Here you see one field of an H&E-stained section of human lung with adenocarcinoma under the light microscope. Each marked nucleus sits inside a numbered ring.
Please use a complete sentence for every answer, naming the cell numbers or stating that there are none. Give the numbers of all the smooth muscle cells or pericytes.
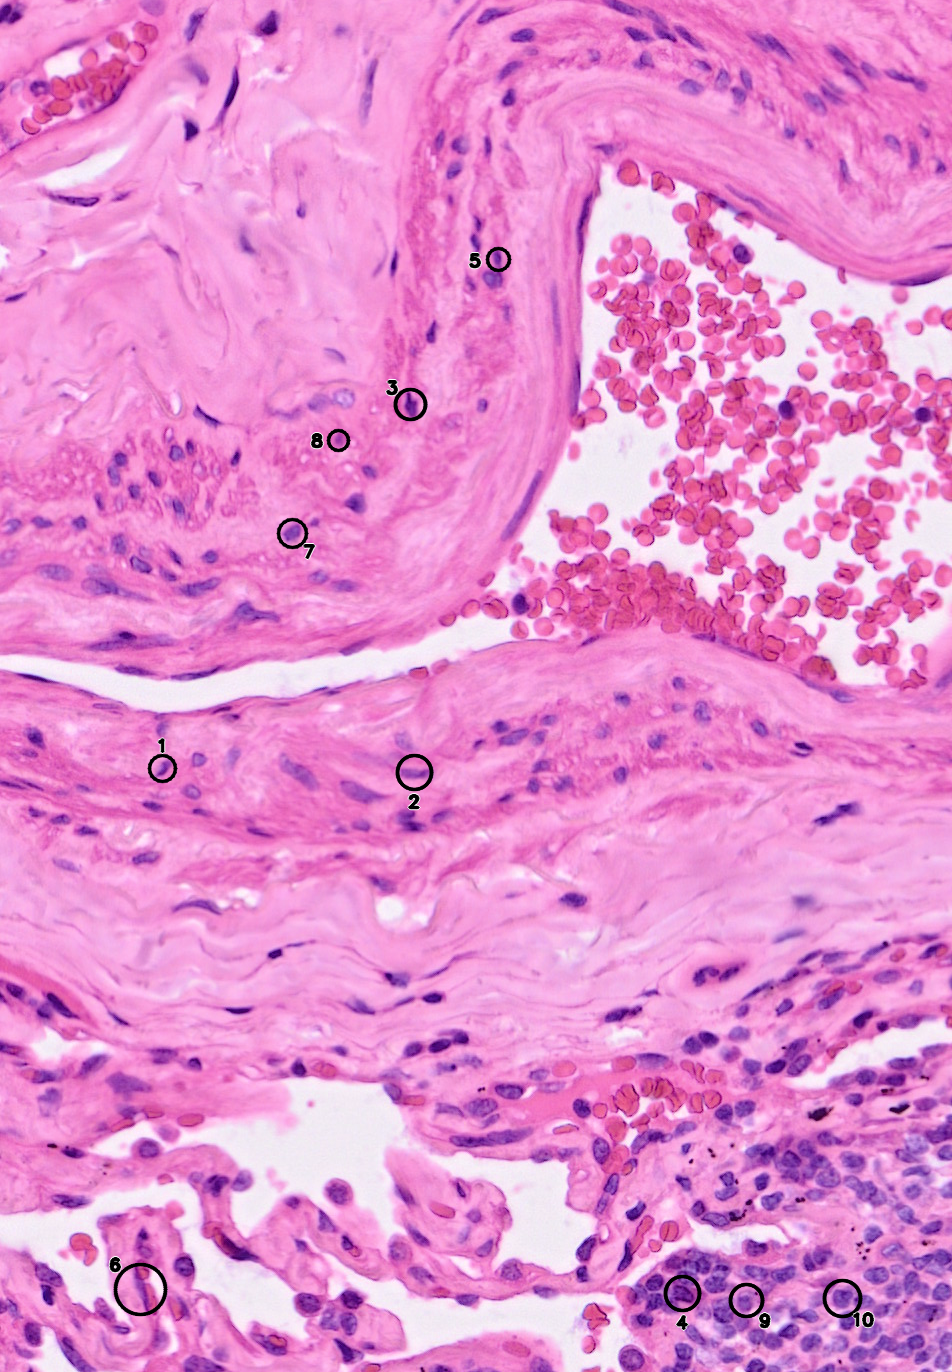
On this slide, the cells numbered 1, 2, 3, 5, 7 and 8 are smooth muscle cells or pericytes.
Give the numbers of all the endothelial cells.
Only one of the numbered nuclei, number 6, belongs to an endothelial cell.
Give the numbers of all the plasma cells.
Cell 4 is the single numbered cell that is a plasma cell.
